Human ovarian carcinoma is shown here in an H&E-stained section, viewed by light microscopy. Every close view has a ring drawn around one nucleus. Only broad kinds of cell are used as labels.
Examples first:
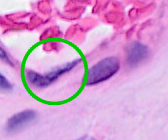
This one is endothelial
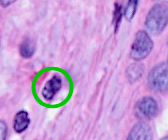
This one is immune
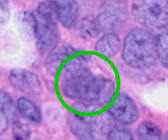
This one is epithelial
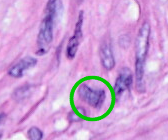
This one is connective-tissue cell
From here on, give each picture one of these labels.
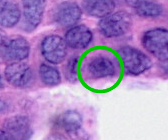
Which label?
epithelial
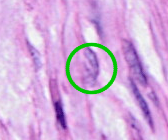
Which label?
connective-tissue cell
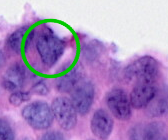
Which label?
epithelial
